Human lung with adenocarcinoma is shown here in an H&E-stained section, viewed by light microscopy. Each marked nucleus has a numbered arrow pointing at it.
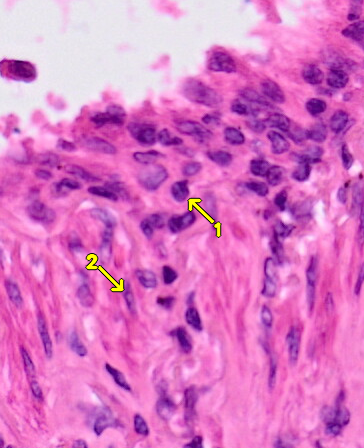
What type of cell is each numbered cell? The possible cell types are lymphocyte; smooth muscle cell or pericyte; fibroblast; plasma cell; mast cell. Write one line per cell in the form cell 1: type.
cell 1: lymphocyte
cell 2: smooth muscle cell or pericyte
